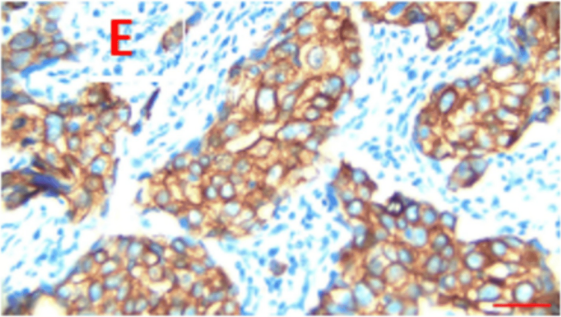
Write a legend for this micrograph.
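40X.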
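Large, rounded nests of closely packed epithelial tumour cells are separated by bands of stroma with many small, elongated blue nuclei. Each tumour cell has a round to oval blue nucleus set in a cell body whose borders and cytoplasm are outlined in brown, giving a net-like pattern across the nests. The nuclei are left pale blue without brown.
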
